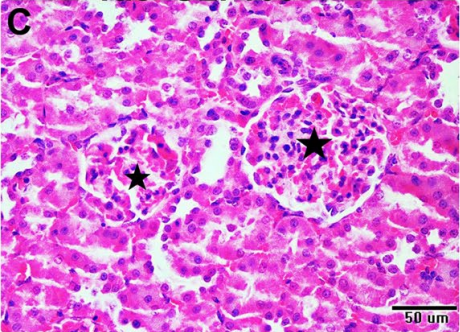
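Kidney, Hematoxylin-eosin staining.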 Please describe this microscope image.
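Renal cortex with two glomeruli, each a rounded cluster of purple nuclei and red blood cells within capillary loops, enclosed by a capsule with only a narrow clear space. Surrounding tubules are lined by epithelial cells with pale, pink, somewhat vacuolated cytoplasm and round nuclei; many lumens are narrowed or irregular, and scattered clear gaps separate tubules. Cell borders in the tubular lining are indistinct in places.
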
